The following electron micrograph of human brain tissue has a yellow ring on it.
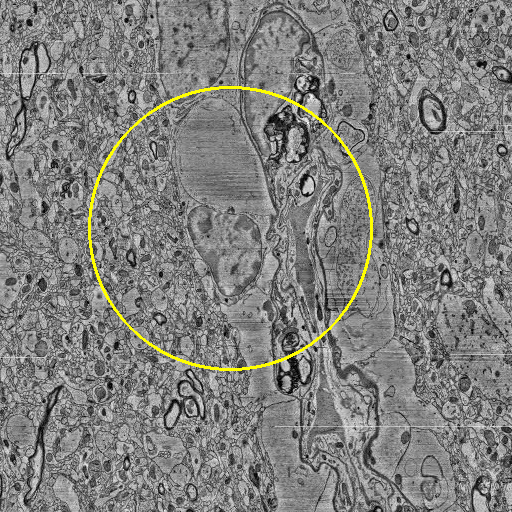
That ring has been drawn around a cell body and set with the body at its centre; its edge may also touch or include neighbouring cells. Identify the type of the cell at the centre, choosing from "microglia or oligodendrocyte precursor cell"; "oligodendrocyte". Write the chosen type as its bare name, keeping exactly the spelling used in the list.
microglia or oligodendrocyte precursor cell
